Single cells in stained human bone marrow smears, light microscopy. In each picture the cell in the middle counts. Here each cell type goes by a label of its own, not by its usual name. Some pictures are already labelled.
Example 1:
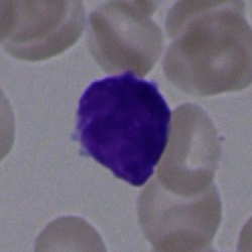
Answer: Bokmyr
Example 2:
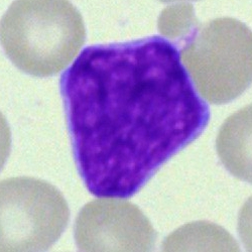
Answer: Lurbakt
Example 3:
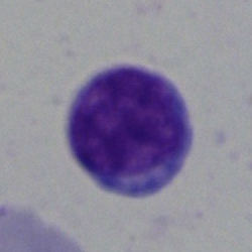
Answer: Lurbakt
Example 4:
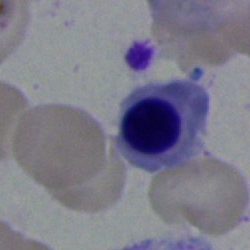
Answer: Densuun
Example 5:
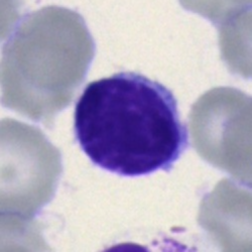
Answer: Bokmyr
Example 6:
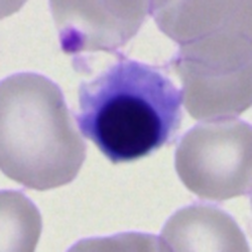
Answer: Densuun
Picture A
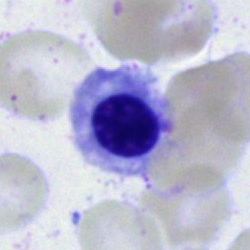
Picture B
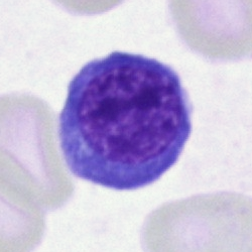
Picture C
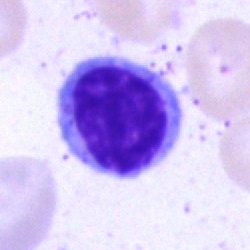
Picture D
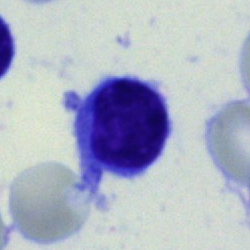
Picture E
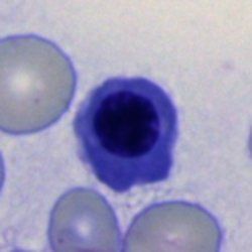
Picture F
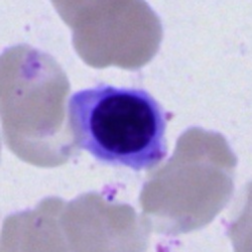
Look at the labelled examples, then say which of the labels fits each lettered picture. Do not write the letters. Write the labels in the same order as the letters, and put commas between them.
Densuun, Densuun, Bokmyr, Bokmyr, Densuun, Densuun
